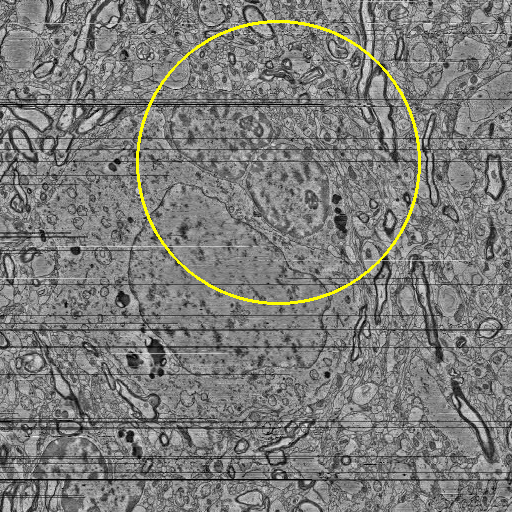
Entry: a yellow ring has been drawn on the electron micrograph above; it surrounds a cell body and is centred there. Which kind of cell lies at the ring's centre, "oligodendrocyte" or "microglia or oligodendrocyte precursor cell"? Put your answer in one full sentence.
The cell sitting at the ring's centre is an oligodendrocyte in the micrograph above.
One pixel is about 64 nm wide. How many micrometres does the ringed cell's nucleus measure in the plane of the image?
In this plane, roughly 6 by 5 micrometres.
